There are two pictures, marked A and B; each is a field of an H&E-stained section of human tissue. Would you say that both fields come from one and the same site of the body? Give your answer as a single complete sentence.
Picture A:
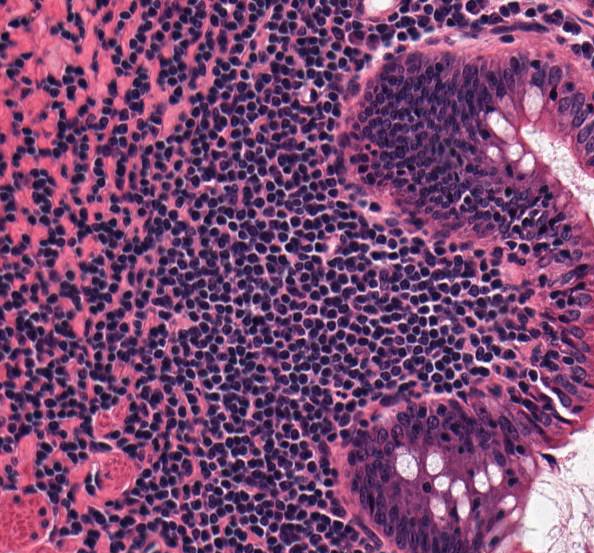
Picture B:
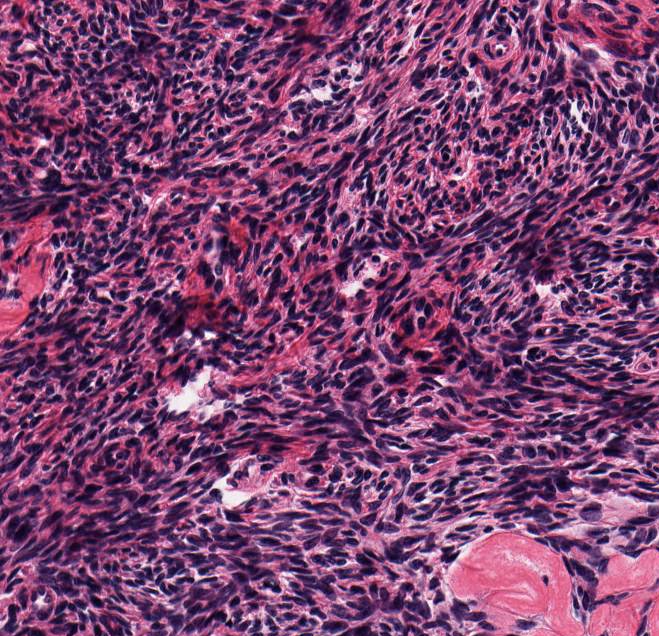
No. Picture A comes from the terminal ileum, whereas picture B comes from the ovary.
